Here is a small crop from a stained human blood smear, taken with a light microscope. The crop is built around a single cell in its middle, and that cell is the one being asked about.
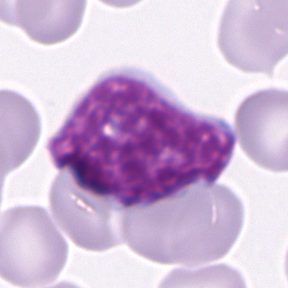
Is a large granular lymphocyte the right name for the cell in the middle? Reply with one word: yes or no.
no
